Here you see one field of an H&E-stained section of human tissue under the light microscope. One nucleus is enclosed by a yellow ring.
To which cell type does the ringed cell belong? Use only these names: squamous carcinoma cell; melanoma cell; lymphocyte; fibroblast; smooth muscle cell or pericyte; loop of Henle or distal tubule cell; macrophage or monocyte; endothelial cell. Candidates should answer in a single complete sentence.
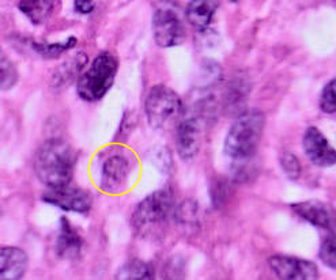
In the context of this tissue, the ringed cell is a melanoma cell.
